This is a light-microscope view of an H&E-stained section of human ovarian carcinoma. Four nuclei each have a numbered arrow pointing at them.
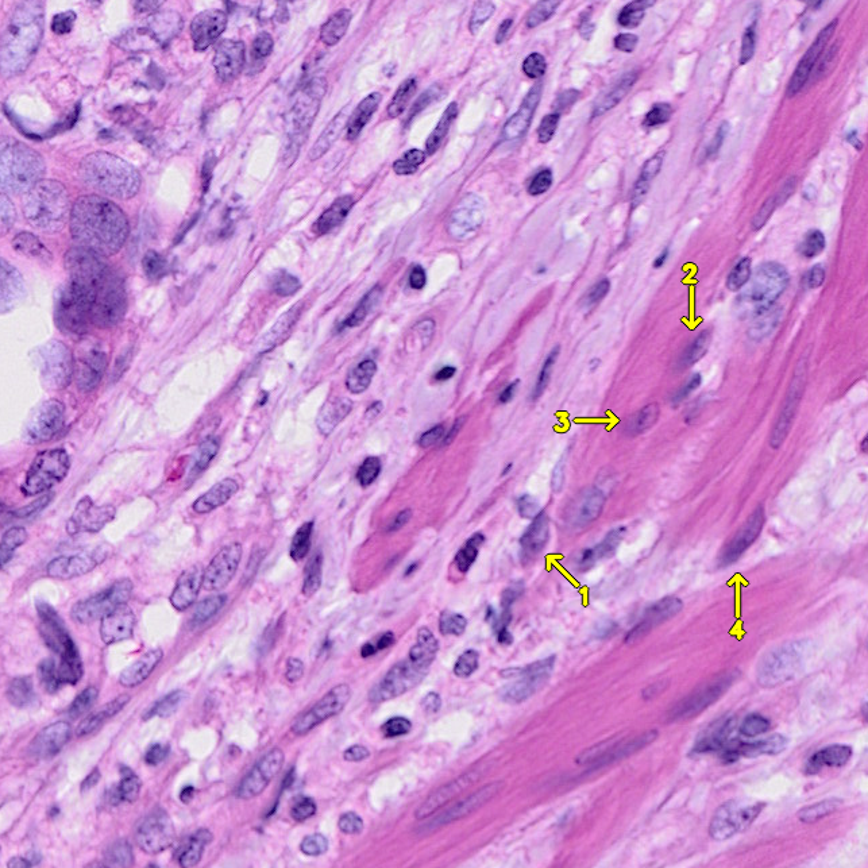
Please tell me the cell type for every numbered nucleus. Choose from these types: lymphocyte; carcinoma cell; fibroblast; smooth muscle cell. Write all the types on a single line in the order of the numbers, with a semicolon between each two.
fibroblast; smooth muscle cell; smooth muscle cell; smooth muscle cell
